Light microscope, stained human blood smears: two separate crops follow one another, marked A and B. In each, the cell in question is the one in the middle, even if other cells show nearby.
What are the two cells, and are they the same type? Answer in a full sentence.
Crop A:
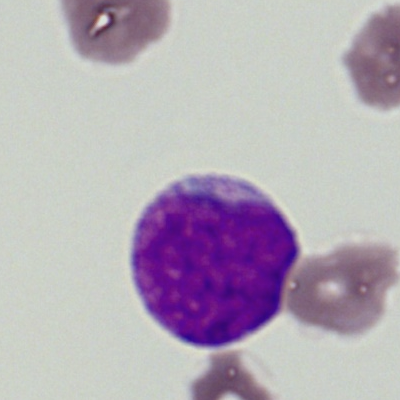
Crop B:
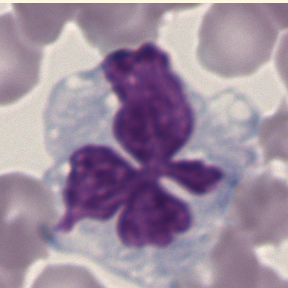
No, a monocyte is the cell in crop B, and crop A contains a blast.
